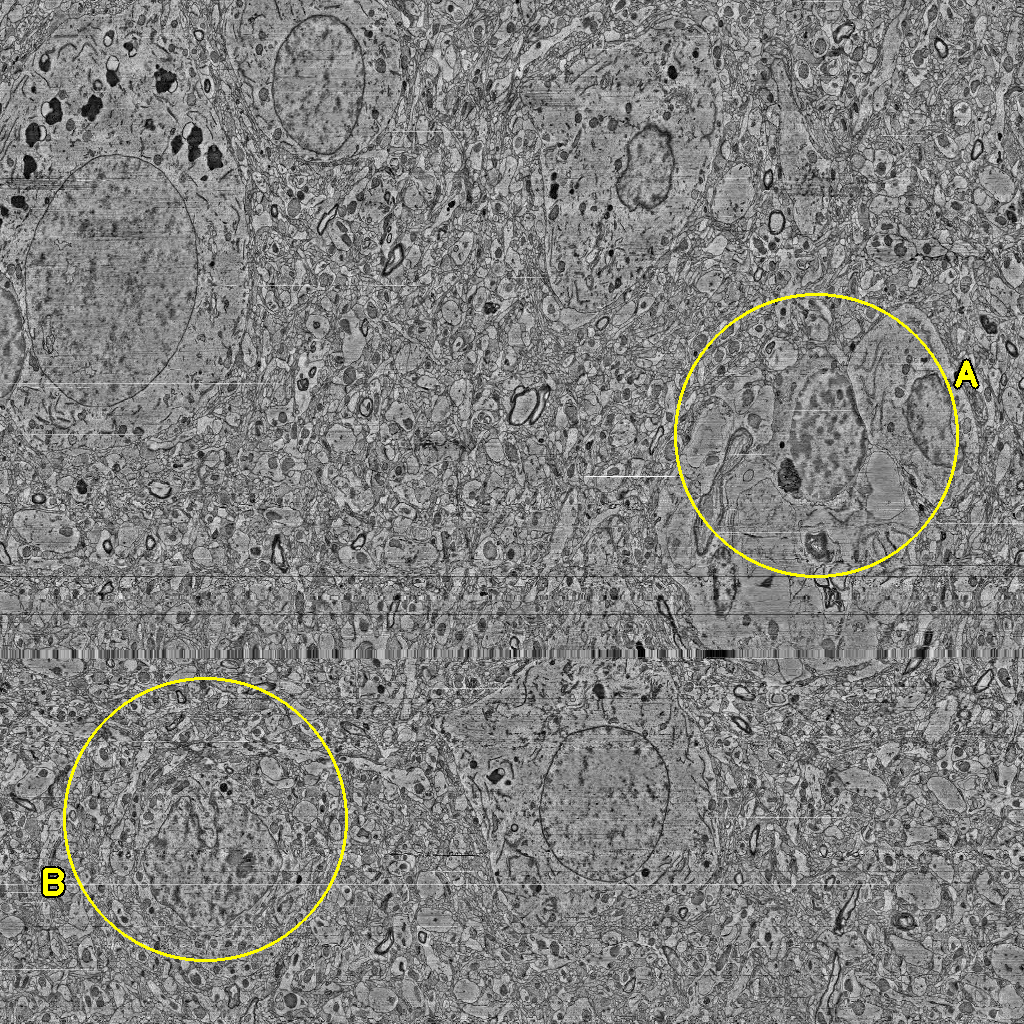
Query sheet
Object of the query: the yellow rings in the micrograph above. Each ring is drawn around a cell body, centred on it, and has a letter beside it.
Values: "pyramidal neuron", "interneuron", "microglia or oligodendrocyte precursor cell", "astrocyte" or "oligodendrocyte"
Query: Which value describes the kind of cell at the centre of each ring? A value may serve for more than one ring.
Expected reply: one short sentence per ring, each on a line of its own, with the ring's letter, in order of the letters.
I assign an oligodendrocyte to ring A.
I assign an interneuron to ring B.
